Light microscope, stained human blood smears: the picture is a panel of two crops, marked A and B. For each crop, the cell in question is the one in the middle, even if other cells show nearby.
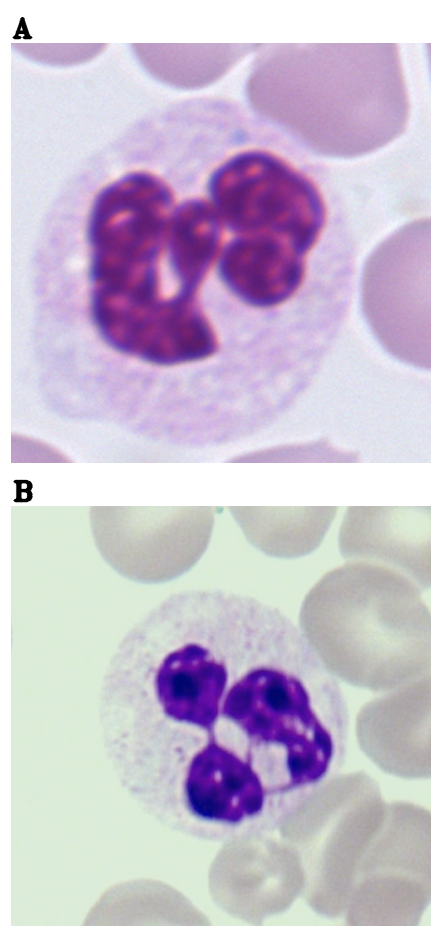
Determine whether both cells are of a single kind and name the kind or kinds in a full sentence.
Yes, the reply for both crops is segmented neutrophils.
